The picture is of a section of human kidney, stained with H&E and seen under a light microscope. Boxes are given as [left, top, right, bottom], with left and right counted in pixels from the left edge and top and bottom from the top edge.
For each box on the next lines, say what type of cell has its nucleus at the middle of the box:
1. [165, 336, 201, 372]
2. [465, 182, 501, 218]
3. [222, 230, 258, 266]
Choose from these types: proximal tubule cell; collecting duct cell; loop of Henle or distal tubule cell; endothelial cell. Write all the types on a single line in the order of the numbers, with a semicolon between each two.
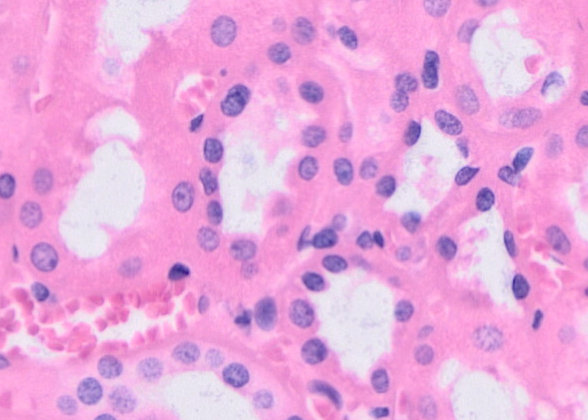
collecting duct cell; loop of Henle or distal tubule cell; loop of Henle or distal tubule cell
